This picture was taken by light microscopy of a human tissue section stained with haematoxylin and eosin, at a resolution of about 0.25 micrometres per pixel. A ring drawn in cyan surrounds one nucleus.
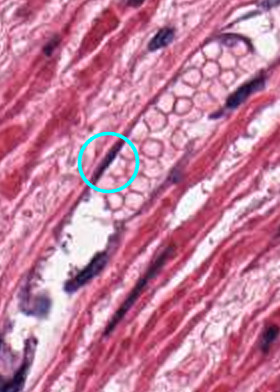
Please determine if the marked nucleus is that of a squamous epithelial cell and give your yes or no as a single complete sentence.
No, the marked nucleus is not the nucleus of a squamous epithelial cell but of a supporting cell.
